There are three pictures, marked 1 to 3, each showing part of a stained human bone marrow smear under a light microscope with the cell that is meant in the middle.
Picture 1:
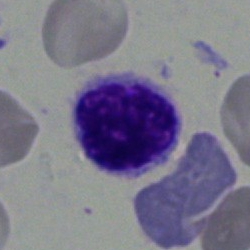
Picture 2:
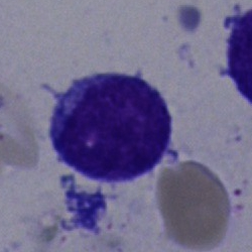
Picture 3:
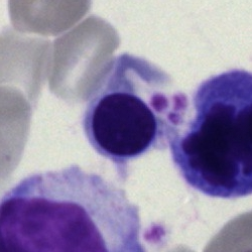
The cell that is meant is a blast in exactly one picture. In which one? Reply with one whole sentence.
The cell in picture 2 is the blast.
